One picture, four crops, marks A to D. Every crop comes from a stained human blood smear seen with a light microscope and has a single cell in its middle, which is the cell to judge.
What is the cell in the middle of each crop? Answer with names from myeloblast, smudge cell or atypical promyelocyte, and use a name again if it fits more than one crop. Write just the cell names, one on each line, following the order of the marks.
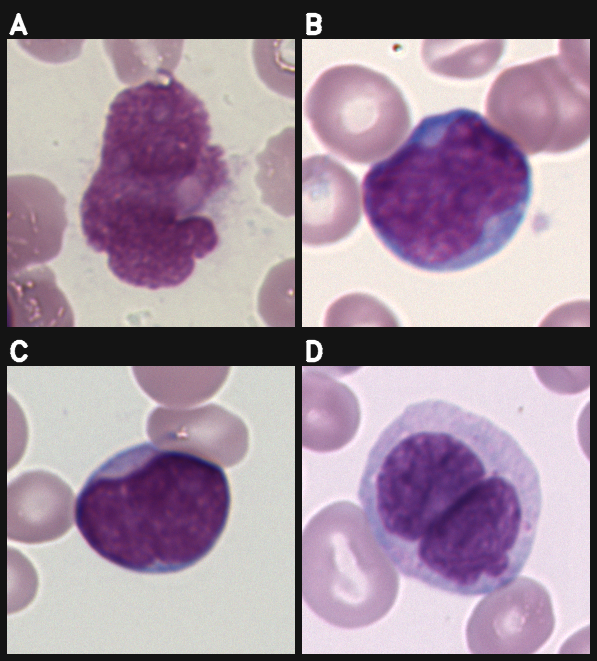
smudge cell
myeloblast
myeloblast
atypical promyelocyte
